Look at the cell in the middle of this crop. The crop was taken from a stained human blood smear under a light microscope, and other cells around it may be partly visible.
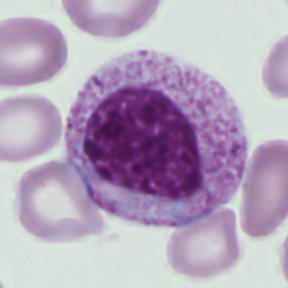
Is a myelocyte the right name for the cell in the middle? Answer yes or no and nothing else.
yes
